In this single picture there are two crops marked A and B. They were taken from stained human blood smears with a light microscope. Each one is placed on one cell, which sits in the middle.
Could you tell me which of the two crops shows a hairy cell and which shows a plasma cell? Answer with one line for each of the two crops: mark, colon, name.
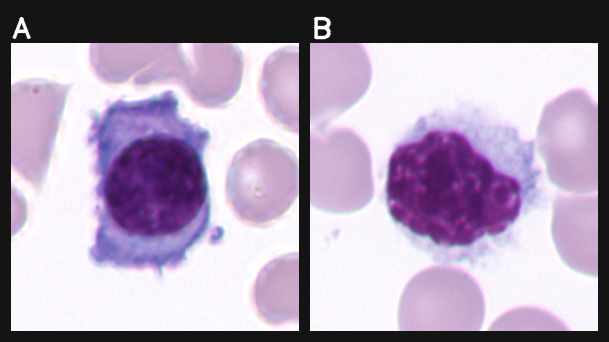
A: plasma cell
B: hairy cell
